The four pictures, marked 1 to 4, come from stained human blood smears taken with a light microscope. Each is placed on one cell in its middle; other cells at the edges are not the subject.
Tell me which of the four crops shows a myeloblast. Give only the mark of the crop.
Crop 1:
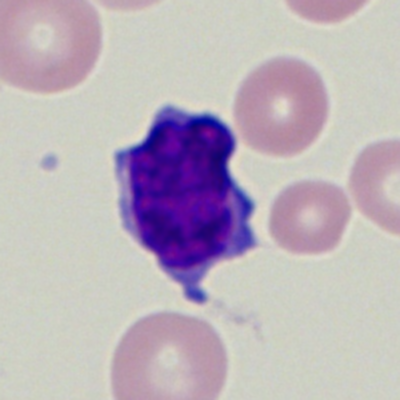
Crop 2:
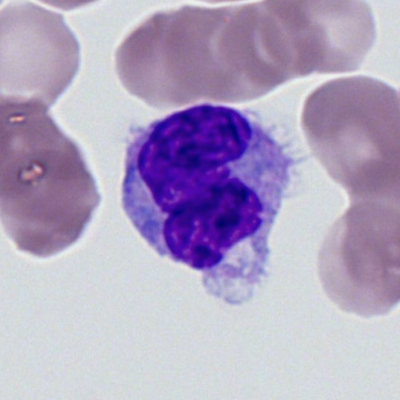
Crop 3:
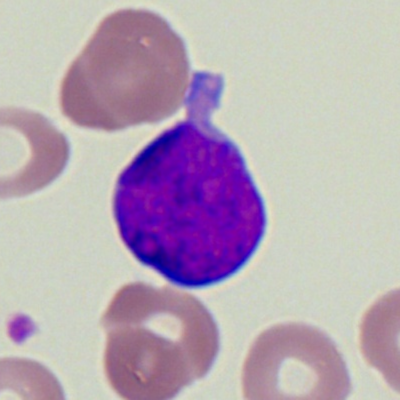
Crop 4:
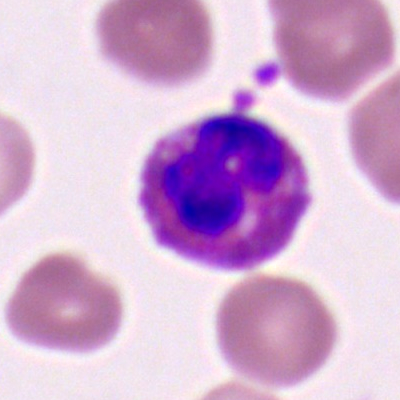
3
